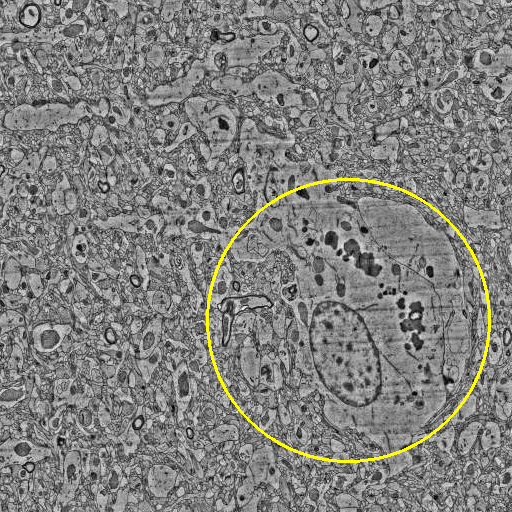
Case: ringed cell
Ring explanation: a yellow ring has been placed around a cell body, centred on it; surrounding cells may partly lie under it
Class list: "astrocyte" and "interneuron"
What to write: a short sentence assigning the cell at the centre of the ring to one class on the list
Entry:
The cell at the ring's centre is an astrocyte.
